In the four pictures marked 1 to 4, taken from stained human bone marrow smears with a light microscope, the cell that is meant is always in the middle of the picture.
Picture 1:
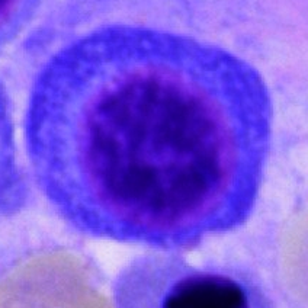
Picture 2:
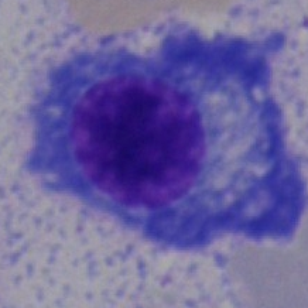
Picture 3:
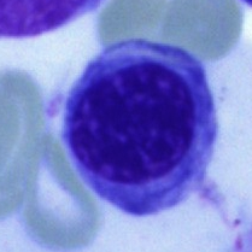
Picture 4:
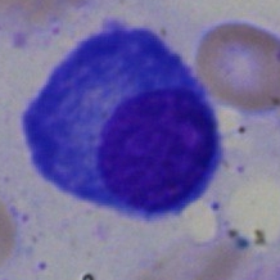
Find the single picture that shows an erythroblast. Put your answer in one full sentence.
It is picture 3 that shows the erythroblast.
